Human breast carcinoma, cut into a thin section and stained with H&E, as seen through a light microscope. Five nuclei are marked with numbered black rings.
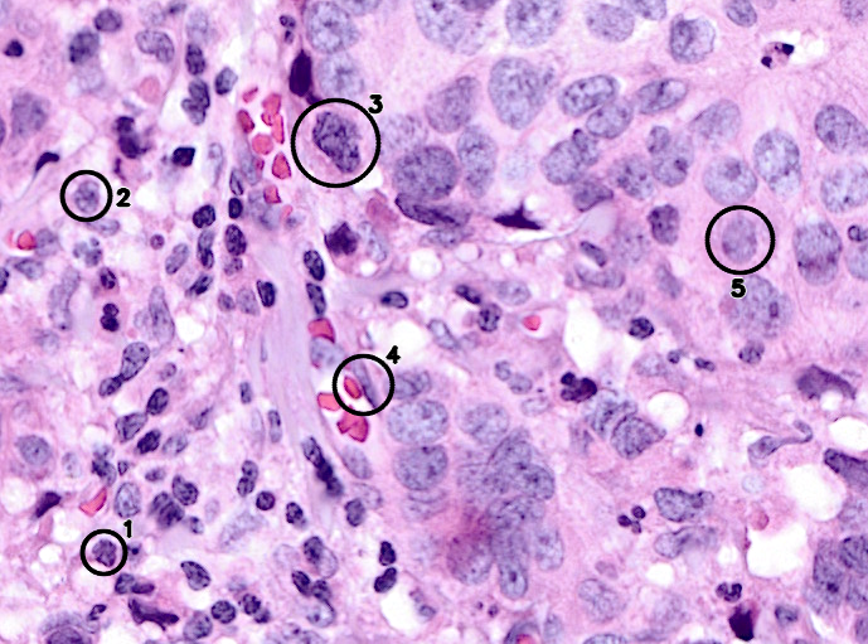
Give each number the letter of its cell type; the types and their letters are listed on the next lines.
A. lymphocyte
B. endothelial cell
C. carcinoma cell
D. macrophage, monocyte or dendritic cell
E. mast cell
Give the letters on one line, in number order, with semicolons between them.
A; D; C; B; C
